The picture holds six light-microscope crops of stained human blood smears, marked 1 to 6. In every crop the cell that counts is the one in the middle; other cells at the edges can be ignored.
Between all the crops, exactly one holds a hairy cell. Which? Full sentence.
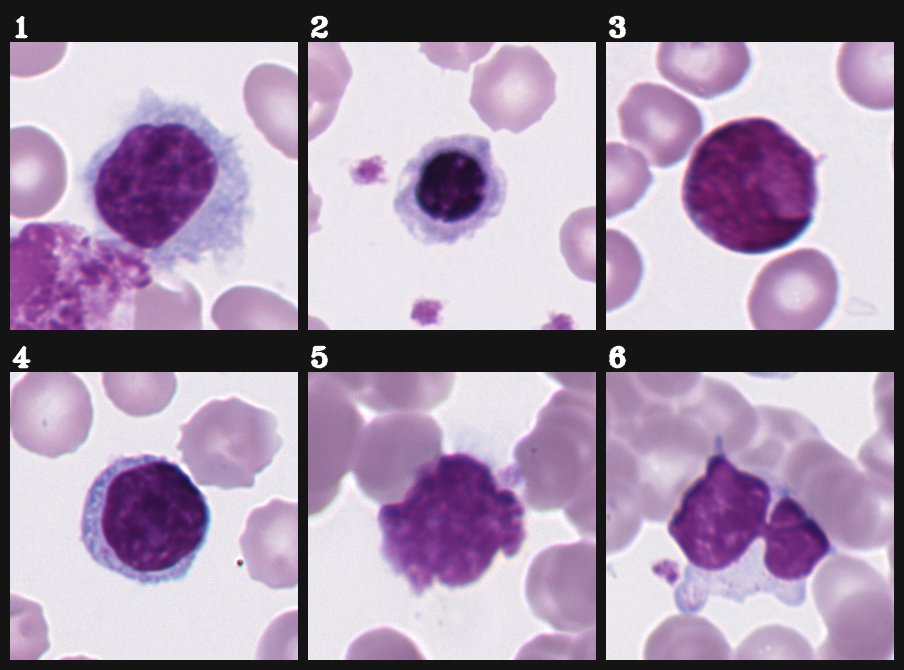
It is crop 1 that shows a hairy cell.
